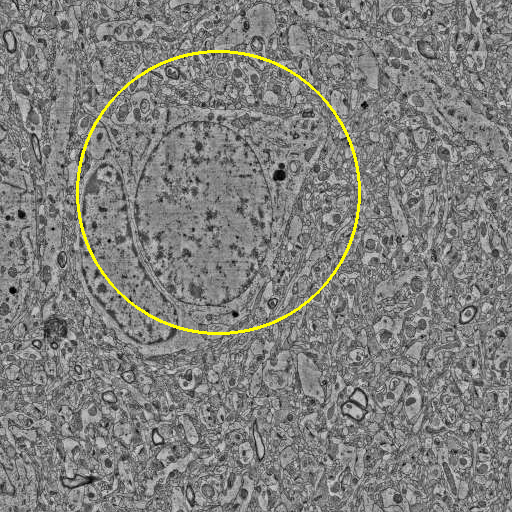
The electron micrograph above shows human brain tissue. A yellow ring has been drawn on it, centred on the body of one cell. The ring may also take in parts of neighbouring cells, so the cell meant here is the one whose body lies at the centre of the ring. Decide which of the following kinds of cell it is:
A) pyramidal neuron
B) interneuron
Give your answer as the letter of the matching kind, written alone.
A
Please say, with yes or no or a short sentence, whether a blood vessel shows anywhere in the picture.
No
